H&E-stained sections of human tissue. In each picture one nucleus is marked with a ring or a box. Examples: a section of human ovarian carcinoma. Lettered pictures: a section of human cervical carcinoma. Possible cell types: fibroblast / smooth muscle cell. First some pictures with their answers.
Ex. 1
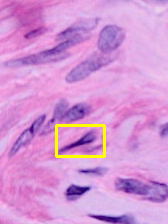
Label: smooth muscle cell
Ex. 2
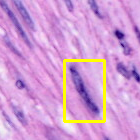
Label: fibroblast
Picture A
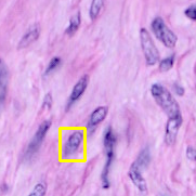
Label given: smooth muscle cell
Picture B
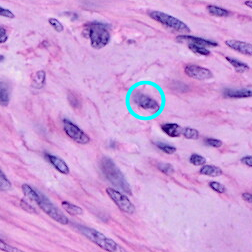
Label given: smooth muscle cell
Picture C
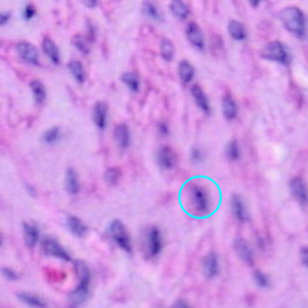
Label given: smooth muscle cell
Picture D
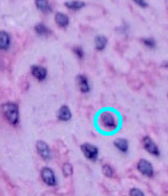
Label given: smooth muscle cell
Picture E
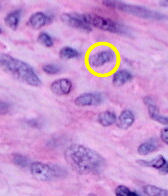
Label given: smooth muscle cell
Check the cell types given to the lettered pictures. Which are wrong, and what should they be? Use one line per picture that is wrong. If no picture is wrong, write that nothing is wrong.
Every label is right.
